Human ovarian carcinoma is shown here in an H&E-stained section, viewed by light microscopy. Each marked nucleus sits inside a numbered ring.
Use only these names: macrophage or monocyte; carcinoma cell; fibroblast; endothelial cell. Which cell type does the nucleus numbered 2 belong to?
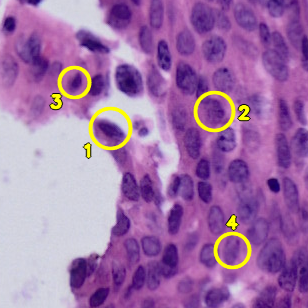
carcinoma cell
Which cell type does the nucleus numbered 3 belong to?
endothelial cell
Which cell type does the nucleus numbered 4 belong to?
carcinoma cell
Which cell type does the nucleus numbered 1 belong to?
carcinoma cell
